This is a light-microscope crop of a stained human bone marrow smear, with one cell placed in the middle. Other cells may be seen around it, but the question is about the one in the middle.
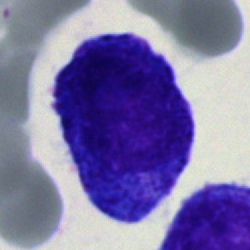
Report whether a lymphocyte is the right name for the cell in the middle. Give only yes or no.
no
